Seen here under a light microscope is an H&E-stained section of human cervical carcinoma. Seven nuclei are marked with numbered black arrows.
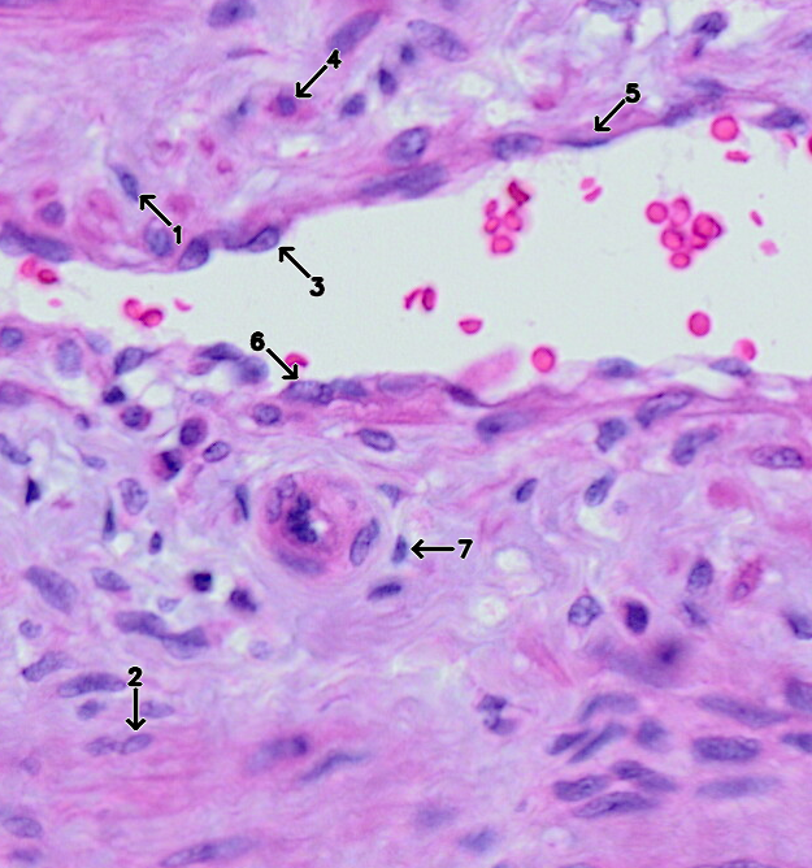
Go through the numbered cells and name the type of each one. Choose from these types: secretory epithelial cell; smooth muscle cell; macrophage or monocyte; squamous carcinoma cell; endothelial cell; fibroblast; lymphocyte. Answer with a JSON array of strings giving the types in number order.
["fibroblast", "smooth muscle cell", "endothelial cell", "smooth muscle cell", "endothelial cell", "endothelial cell", "fibroblast"]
